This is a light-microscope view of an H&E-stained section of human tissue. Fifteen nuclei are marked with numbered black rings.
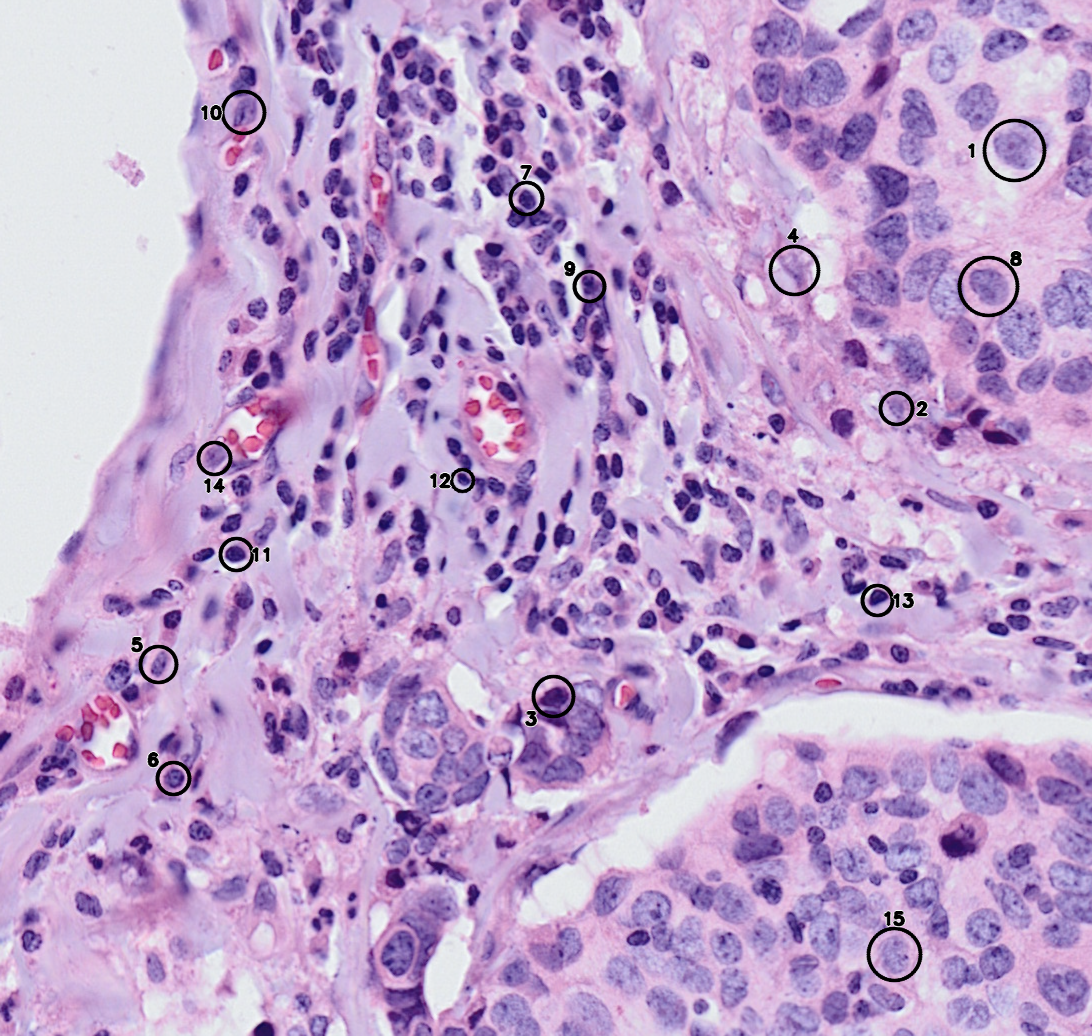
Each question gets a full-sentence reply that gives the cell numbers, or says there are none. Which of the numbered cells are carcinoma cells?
The cells numbered 1, 3, 8 and 15 are of the kind known as carcinoma cells.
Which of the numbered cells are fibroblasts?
Only the cell with the number 4 is a fibroblast.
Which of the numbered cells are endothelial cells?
The cells carrying the numbers 10 and 14 are endothelial cells.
